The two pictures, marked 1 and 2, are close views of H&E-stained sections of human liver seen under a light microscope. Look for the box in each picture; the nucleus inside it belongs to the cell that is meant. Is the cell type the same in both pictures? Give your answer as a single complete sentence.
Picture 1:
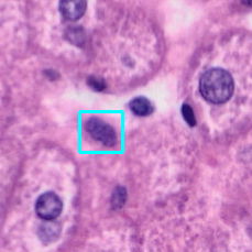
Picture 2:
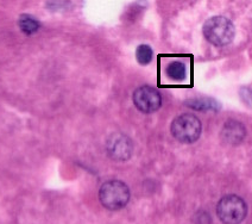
No, they differ: the cell is a Kupffer cell in picture 1 and a lymphocyte in picture 2.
